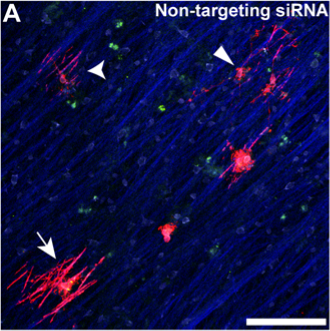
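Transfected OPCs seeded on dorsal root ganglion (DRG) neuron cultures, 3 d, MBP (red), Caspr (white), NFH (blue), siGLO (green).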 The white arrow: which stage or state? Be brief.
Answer: wrapping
